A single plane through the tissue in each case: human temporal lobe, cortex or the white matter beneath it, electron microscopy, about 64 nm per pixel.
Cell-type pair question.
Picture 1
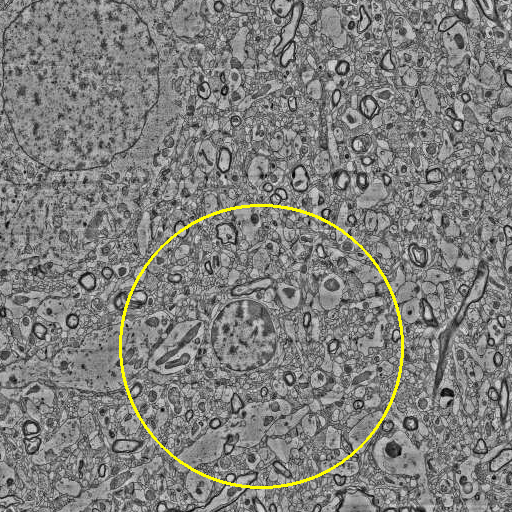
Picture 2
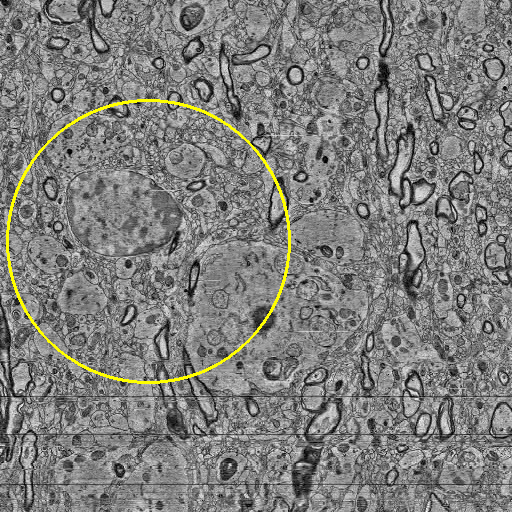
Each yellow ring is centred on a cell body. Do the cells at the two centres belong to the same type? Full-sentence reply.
Yes, the two cells belong to the same type.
